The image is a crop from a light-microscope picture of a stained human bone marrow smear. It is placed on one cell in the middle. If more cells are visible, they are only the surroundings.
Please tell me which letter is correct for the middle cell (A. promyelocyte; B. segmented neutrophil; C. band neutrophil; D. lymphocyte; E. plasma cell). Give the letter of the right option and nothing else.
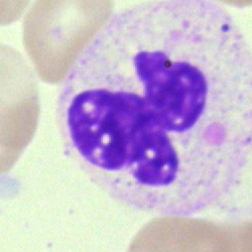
B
